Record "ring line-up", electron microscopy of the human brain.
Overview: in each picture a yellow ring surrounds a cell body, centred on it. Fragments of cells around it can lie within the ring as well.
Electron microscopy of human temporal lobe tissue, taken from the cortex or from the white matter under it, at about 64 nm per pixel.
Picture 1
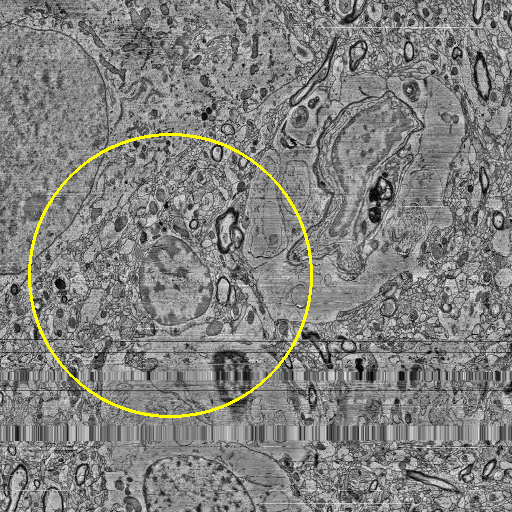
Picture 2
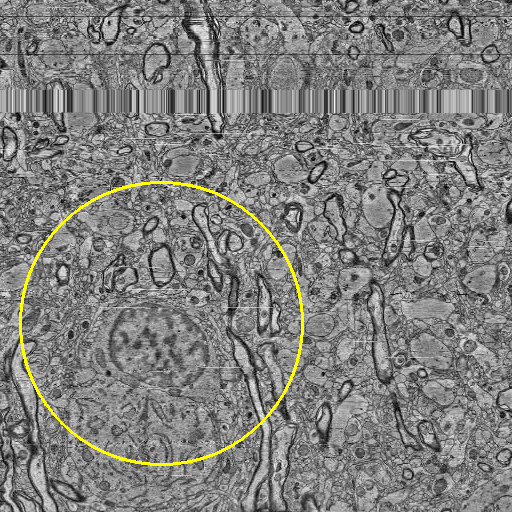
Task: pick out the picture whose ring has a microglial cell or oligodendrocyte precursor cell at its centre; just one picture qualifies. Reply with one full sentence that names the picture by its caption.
Going by the cell at the ring's centre, the right choice is Picture 1.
